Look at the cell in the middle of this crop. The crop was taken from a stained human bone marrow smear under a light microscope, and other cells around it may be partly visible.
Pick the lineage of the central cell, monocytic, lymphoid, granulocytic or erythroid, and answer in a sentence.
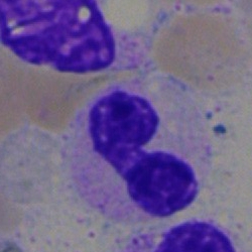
Lineage-wise, the central cell here belongs with the granulocytic series.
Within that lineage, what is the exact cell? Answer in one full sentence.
In the crop, the cell of interest at the centre is a segmented neutrophil.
